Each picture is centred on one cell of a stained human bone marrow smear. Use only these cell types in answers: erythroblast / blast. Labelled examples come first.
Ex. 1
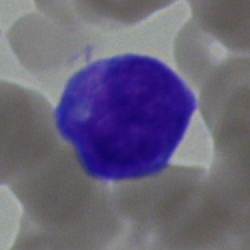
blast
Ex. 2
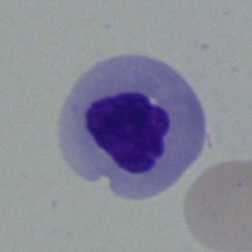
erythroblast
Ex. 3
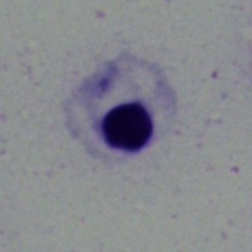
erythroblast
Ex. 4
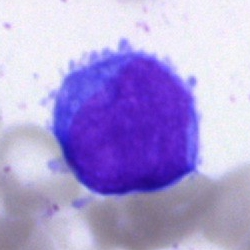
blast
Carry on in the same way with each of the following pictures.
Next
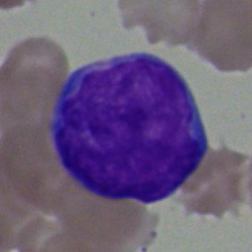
blast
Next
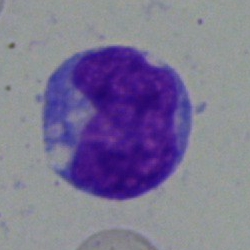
blast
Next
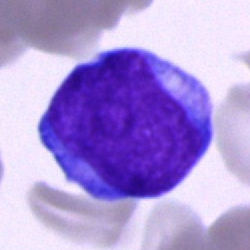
blast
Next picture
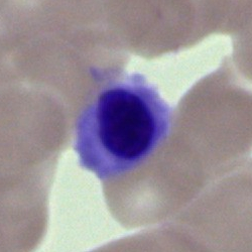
erythroblast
